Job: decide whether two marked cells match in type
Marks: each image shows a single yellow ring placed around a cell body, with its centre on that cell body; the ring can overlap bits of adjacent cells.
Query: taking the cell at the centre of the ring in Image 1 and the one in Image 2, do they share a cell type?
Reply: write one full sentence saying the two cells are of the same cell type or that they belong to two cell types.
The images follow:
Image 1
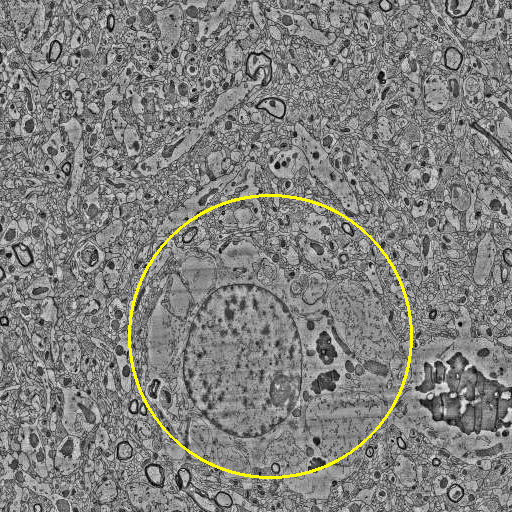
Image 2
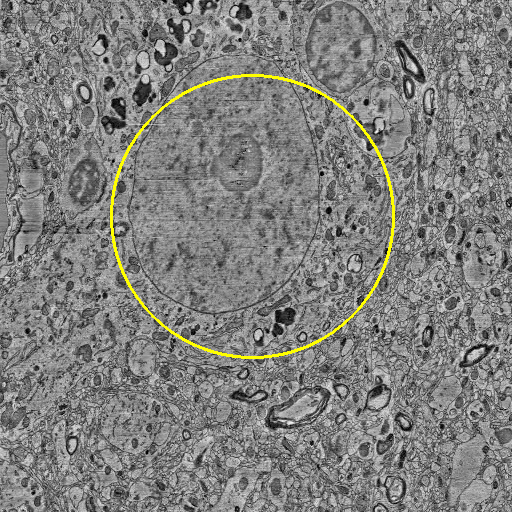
The cells at the ring centres in Image 1 and Image 2 belong to two cell types.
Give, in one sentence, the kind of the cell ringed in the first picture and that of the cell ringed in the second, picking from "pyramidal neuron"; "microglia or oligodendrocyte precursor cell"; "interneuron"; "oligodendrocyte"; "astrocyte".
For the first picture it is an astrocyte; for the second, a pyramidal neuron.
